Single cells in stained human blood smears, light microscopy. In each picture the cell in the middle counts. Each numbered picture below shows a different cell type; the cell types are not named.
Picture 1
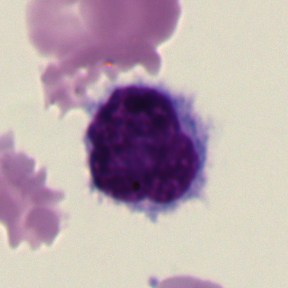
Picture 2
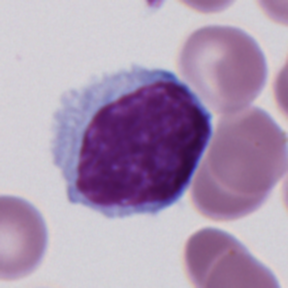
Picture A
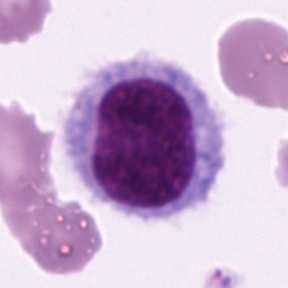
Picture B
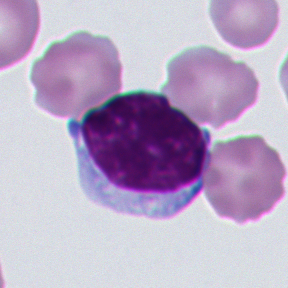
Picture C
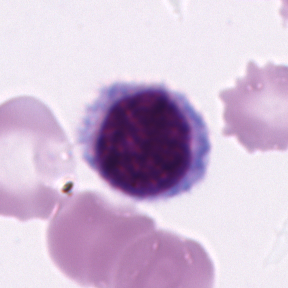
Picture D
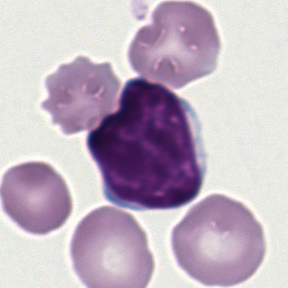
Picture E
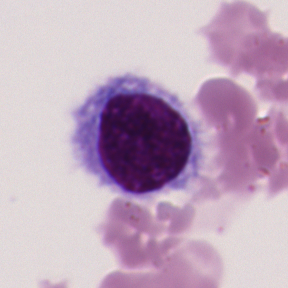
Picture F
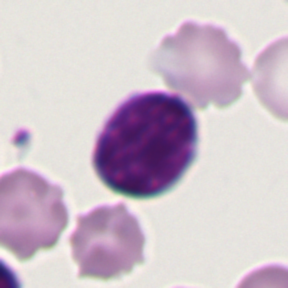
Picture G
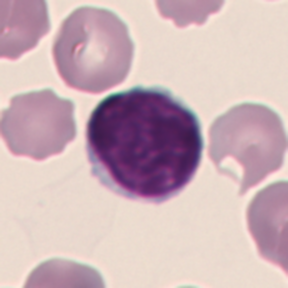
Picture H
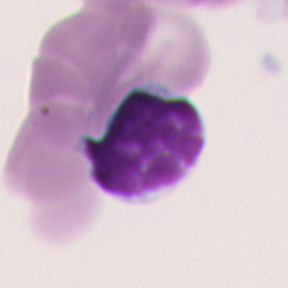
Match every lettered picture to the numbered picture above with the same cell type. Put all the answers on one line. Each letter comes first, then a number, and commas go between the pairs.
A 1, B 2, C 1, D 2, E 1, F 2, G 2, H 2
